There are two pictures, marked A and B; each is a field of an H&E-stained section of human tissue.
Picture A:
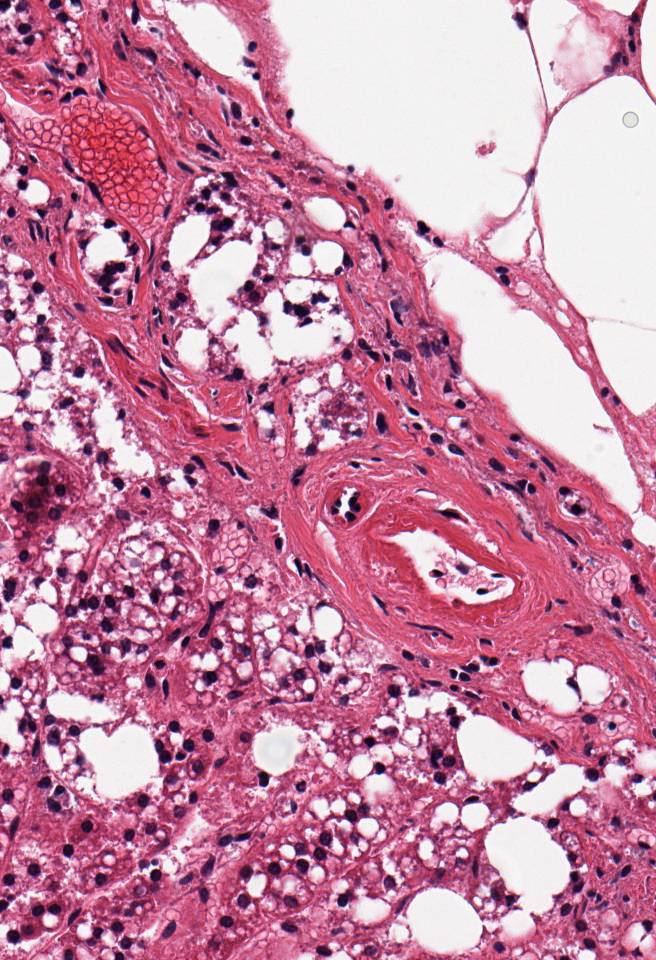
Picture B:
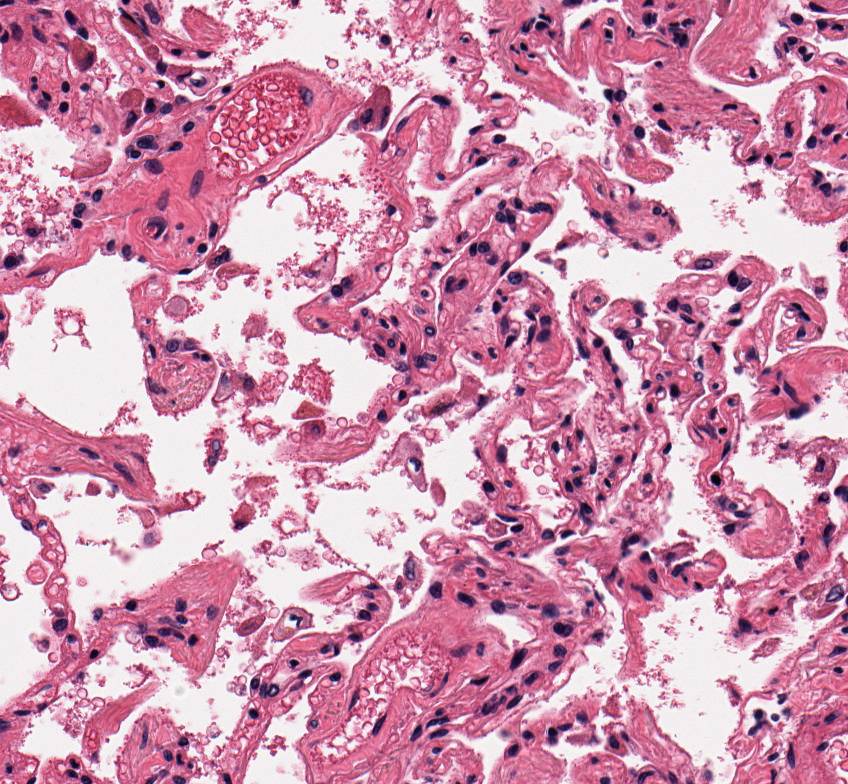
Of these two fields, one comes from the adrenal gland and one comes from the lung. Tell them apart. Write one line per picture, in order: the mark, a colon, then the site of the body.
A: adrenal gland
B: lung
